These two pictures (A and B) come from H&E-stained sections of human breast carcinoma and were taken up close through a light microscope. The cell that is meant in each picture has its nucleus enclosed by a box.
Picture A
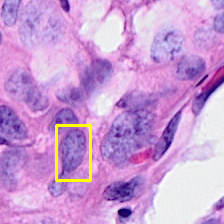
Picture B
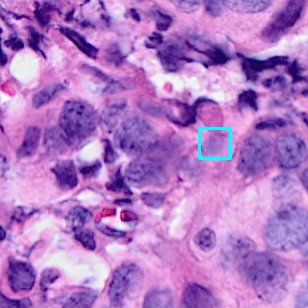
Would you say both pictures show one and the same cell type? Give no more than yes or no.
yes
